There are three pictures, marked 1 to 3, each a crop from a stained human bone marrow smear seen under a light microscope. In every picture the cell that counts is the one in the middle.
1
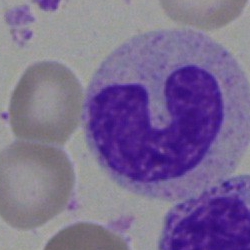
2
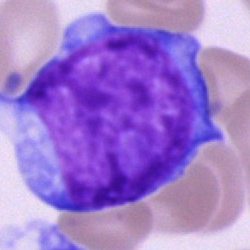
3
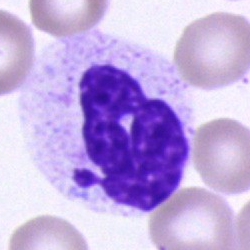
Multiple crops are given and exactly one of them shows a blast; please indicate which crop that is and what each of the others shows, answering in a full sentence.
Here crop 2 shows a blast, while crop 1 is a band neutrophil and crop 3 is a segmented neutrophil.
